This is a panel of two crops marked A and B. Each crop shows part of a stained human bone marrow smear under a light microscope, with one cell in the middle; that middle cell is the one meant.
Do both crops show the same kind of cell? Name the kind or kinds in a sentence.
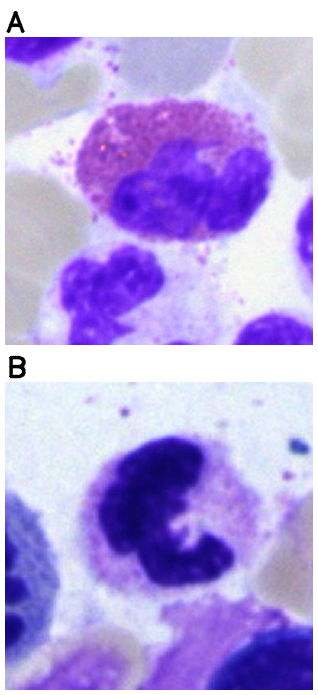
No, the labels go like this: crop A is an eosinophil and crop B is a segmented neutrophil.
